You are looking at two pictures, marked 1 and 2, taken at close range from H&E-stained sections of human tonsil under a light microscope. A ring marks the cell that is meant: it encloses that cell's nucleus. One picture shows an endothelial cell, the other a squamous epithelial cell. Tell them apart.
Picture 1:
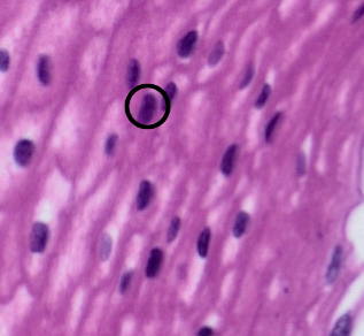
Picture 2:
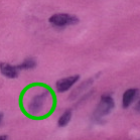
1: squamous epithelial cell
2: endothelial cell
